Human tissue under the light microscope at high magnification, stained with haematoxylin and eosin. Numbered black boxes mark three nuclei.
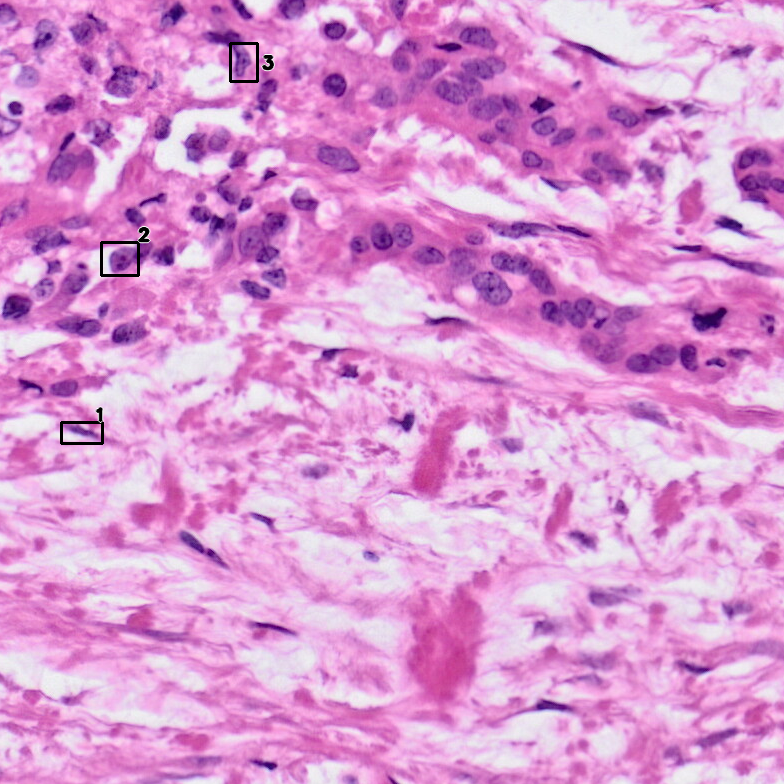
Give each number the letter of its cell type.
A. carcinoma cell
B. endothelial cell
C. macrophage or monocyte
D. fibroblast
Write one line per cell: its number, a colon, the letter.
1: D
2: A
3: C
